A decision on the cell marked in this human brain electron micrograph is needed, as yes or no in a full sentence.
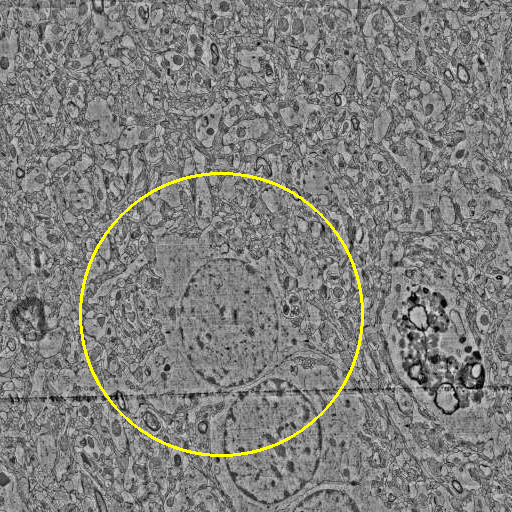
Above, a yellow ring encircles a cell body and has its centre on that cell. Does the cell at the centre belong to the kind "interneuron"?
No, a different kind fits the cell at the centre of the ring in the picture.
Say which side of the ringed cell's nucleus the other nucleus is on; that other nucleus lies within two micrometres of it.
That nucleus lies to the lower right of it.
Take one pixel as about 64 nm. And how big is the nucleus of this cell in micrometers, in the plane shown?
The nucleus works out at approximately 8 by 6 micrometres in this plane.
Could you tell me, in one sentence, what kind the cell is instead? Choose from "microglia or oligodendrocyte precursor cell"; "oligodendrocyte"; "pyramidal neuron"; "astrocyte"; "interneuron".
The cell at the ring centre is an astrocyte.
